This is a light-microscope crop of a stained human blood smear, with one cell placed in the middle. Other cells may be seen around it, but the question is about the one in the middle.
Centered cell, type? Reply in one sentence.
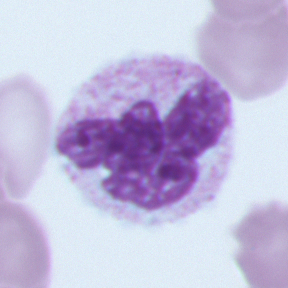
Centrally within this crop lies a segmented neutrophil.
